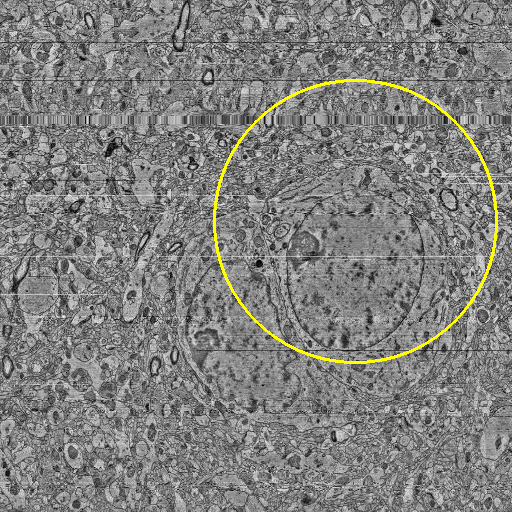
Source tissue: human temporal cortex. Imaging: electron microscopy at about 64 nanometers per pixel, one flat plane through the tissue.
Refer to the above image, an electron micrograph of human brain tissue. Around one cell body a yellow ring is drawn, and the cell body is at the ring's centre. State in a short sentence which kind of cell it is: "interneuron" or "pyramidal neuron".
The centre of the ring falls on a pyramidal neuron.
